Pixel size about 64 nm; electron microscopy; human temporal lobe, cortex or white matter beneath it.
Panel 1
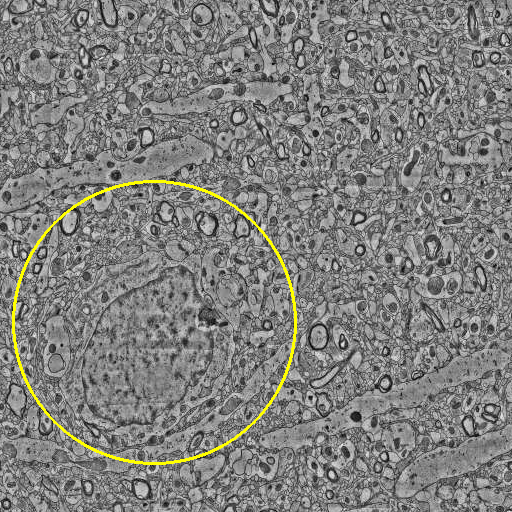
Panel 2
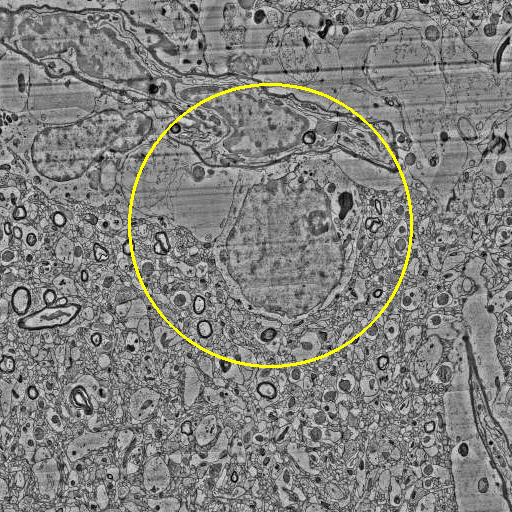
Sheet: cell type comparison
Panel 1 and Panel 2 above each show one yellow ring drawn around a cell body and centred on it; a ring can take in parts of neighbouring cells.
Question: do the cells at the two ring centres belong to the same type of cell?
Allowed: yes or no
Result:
yes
